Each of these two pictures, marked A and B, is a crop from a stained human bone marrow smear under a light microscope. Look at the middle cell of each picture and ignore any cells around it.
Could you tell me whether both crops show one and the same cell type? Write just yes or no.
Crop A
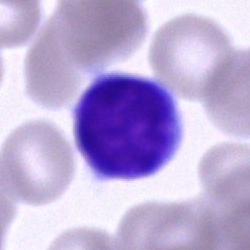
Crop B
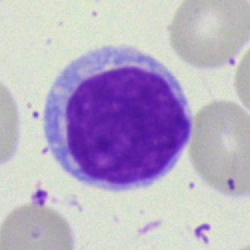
yes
